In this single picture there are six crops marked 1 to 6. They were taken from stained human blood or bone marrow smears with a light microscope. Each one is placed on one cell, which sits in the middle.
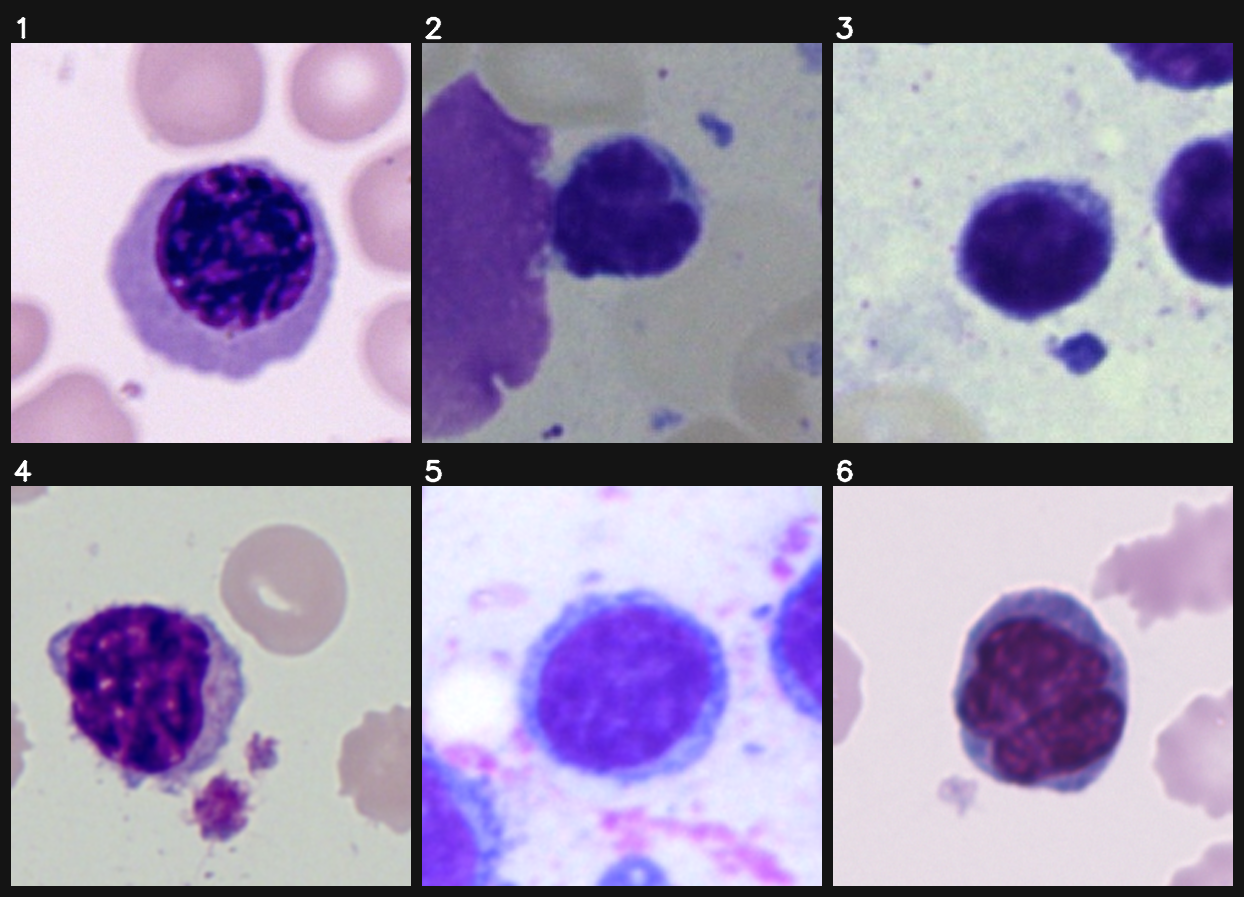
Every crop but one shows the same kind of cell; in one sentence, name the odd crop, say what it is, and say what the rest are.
As the exception to the lymphocytes in the other crops, crop 1 shows an erythroblast.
